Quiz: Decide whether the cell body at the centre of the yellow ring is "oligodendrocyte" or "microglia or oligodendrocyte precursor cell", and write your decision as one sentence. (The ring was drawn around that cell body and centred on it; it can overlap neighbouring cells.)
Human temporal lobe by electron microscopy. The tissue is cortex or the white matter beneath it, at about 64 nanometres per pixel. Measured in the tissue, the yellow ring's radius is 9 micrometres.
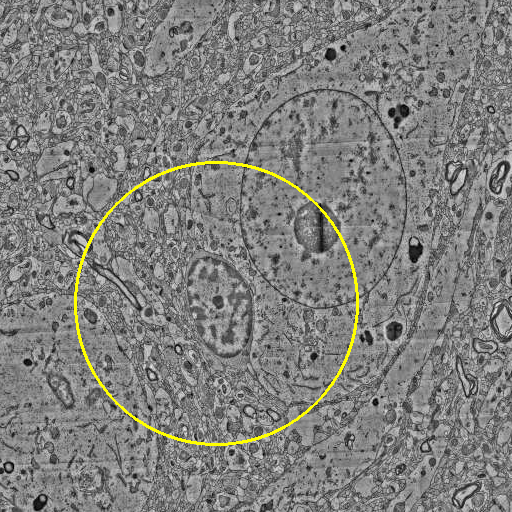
The cell the ring is centred on is an oligodendrocyte.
